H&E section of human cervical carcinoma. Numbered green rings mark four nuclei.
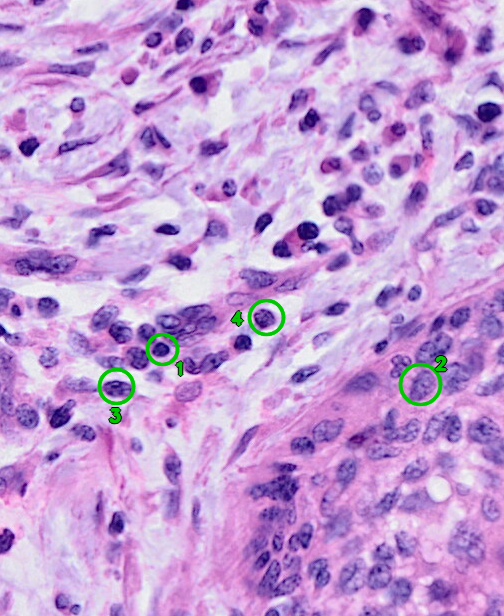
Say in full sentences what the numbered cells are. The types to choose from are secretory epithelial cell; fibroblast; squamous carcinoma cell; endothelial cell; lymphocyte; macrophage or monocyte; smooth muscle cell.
Cell 1 is a lymphocyte, cell 2 is a squamous carcinoma cell, cell 3 is a lymphocyte and cell 4 is a lymphocyte.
